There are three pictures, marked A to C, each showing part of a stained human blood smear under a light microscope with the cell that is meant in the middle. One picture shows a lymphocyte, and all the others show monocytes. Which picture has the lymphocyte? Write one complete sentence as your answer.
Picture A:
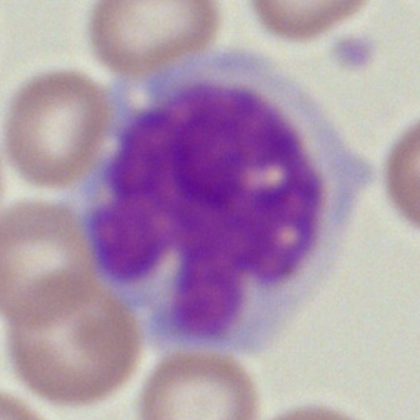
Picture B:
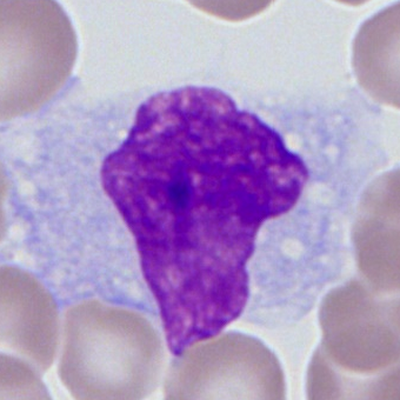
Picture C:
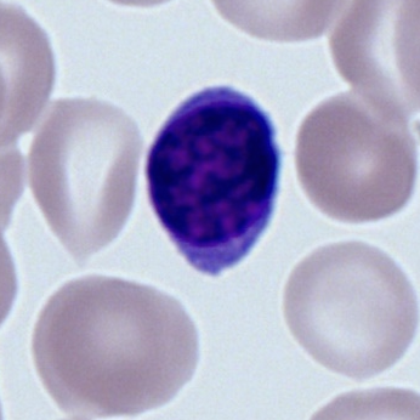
The lymphocyte is the one in picture C.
